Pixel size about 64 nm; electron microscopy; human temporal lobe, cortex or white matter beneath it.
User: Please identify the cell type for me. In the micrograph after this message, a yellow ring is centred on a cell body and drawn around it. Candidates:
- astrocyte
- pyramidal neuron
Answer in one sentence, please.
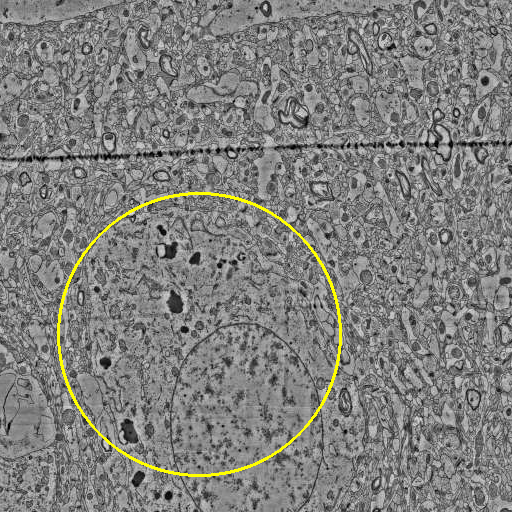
The ring is drawn around the cell body of a pyramidal neuron.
